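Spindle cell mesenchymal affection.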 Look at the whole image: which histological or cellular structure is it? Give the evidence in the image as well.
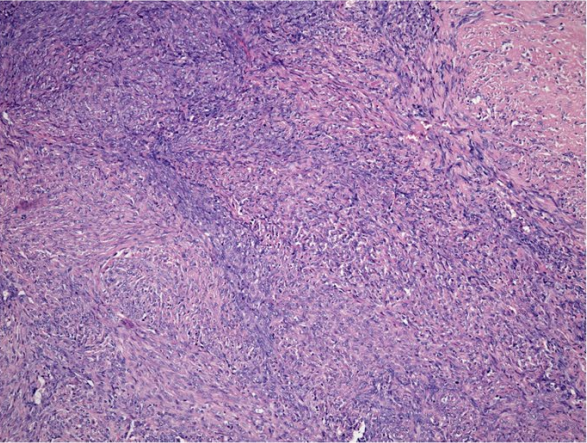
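Poorly defined fascicles. Elongated spindle-shaped cells run in bundles in different directions. The bundles merge without sharp borders. Pink collagen-rich areas lie between cell-dense areas.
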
